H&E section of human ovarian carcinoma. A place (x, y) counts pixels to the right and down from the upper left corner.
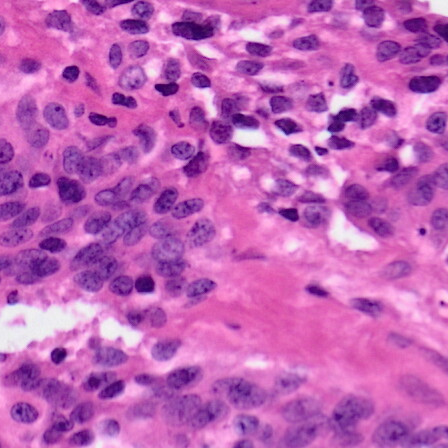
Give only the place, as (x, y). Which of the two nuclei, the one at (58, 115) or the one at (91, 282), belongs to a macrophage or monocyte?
(58, 115)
